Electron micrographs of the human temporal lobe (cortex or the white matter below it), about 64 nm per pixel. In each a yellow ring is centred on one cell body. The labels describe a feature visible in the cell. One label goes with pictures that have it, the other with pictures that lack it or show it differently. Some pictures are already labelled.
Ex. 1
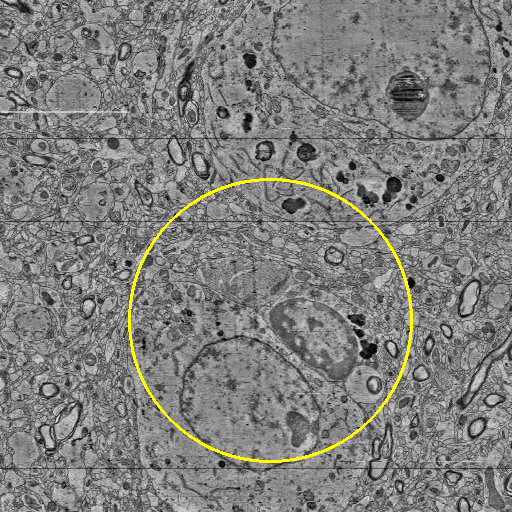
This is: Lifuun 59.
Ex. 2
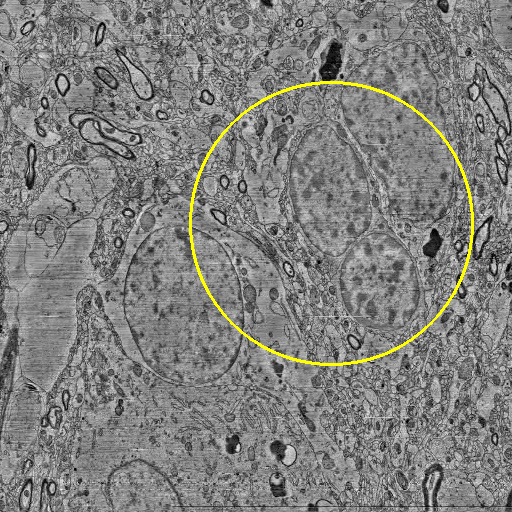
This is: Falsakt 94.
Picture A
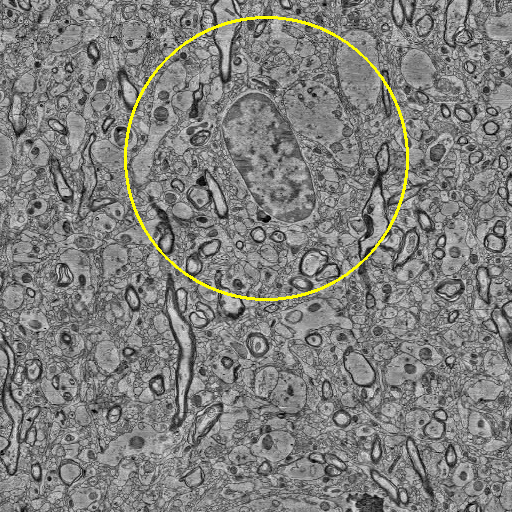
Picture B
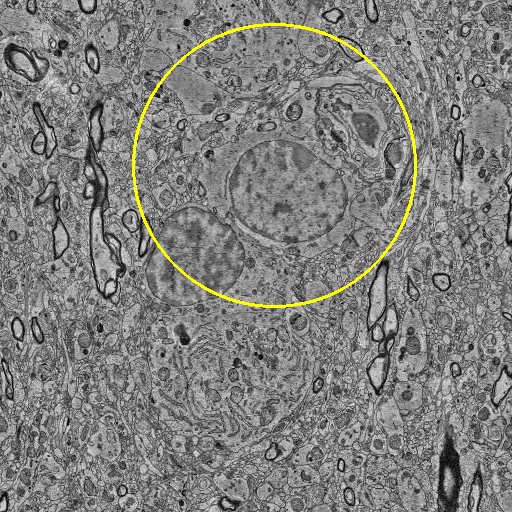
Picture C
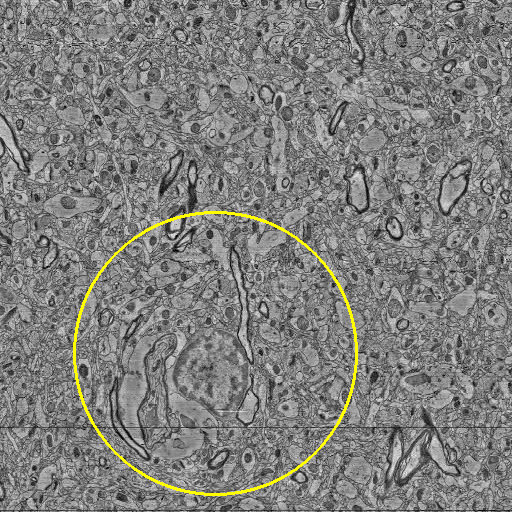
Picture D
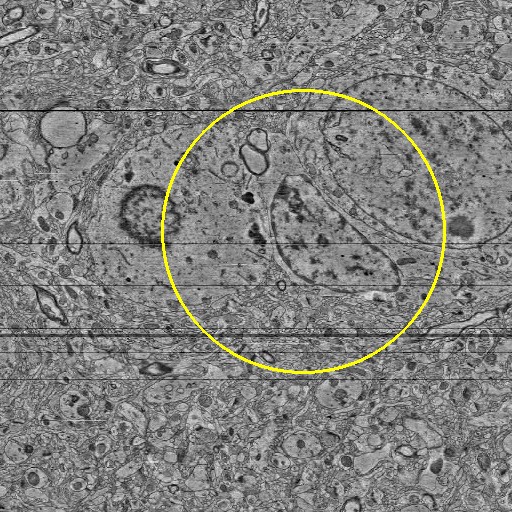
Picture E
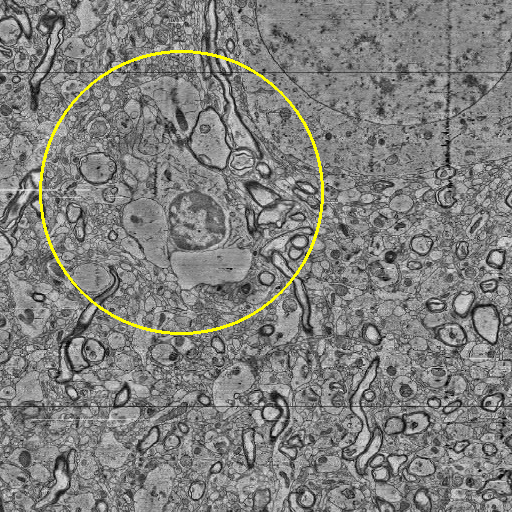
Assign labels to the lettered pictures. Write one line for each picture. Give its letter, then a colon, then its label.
A: Falsakt 94.
B: Lifuun 59.
C: Lifuun 59.
D: Falsakt 94.
E: Lifuun 59.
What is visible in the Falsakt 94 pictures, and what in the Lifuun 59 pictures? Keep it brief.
Seen in Falsakt 94: clearly elongated nuclei; seen in Lifuun 59: round or nearly round nuclei.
